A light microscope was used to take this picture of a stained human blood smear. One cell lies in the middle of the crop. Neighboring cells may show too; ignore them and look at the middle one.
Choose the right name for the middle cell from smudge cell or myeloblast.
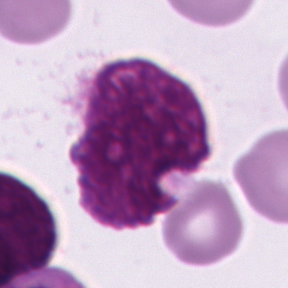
smudge cell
